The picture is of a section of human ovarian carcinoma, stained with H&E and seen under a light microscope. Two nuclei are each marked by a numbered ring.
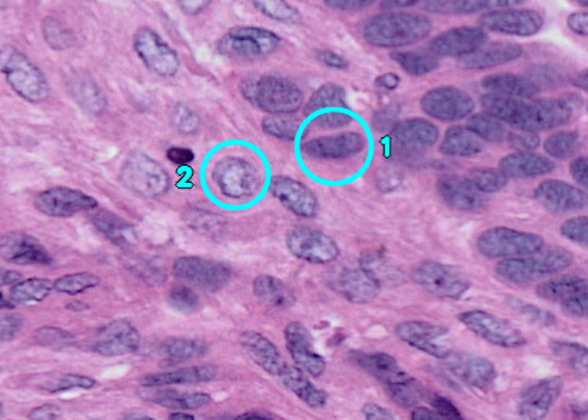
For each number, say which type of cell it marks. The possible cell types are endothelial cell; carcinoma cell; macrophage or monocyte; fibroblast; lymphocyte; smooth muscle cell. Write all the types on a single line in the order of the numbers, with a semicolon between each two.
carcinoma cell; fibroblast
